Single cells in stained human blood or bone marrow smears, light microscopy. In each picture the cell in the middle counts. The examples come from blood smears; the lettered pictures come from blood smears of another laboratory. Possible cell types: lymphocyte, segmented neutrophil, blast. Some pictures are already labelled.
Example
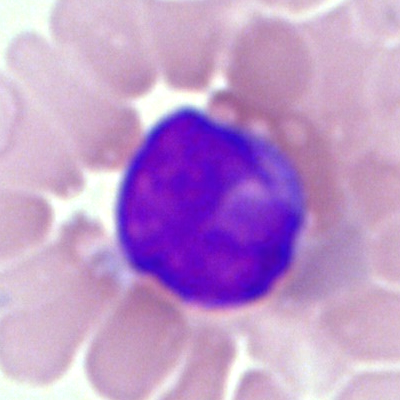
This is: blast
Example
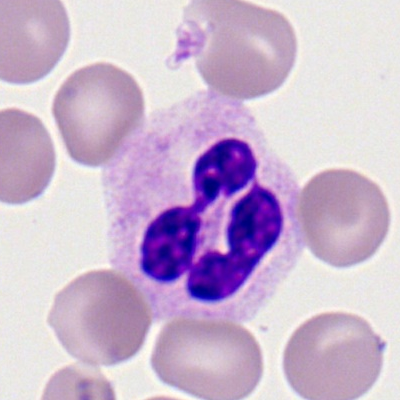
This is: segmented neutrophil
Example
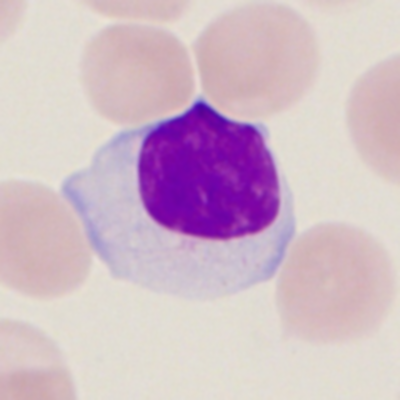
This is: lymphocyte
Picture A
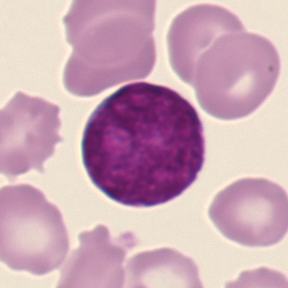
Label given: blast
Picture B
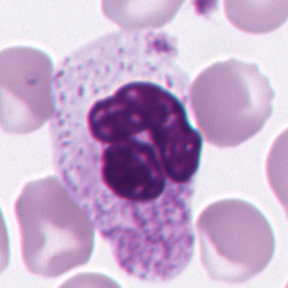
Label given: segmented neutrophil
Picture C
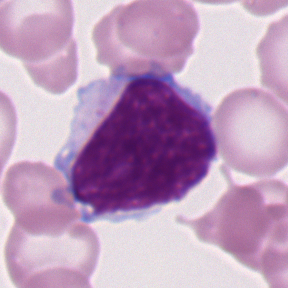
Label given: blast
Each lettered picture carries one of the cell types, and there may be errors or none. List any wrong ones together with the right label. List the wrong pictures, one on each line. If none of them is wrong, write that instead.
C: change blast to lymphocyte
